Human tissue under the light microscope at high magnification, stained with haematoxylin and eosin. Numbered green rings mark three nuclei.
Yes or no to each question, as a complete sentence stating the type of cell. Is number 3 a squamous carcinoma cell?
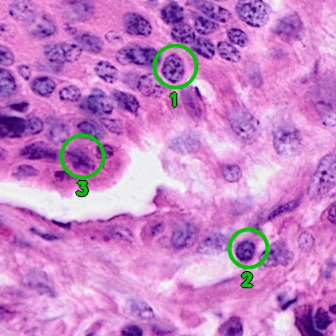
Yes, the cell at number 3 is a squamous carcinoma cell.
